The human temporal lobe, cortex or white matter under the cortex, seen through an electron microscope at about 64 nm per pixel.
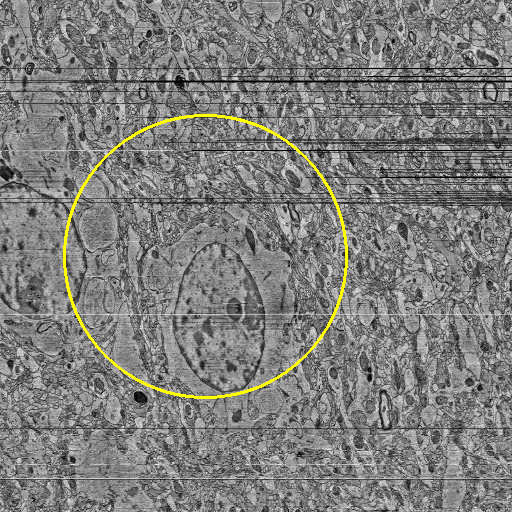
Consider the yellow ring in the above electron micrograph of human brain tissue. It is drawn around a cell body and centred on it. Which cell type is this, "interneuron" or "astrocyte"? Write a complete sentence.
The cell in question is an astrocyte.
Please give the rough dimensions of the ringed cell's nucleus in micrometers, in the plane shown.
The nucleus is about 10 micrometres in length and 6 in width, clearly longer than it is wide in this plane.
